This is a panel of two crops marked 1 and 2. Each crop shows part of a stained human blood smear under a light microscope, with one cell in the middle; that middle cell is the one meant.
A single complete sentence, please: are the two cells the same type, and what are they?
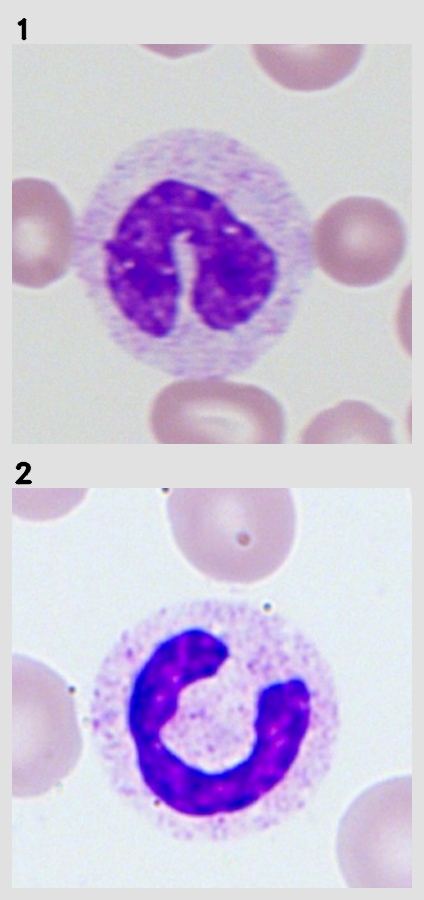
Yes, both crops have band neutrophils as their central cells.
